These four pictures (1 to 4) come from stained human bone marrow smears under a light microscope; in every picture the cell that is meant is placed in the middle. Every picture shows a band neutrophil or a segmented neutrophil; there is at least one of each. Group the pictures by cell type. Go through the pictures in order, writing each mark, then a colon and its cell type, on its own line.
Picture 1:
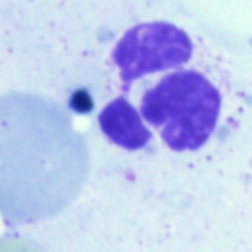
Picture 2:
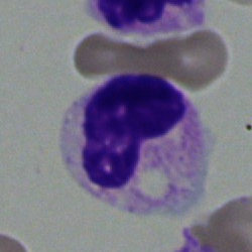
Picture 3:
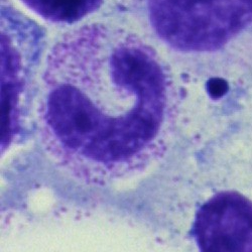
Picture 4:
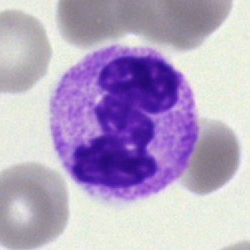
1: segmented neutrophil
2: band neutrophil
3: band neutrophil
4: segmented neutrophil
